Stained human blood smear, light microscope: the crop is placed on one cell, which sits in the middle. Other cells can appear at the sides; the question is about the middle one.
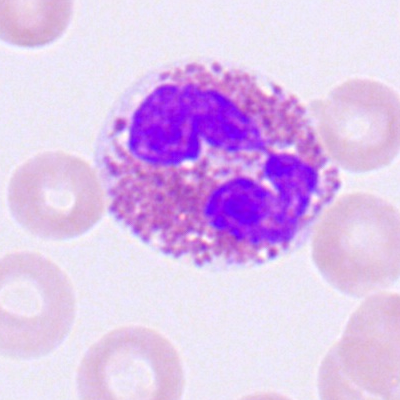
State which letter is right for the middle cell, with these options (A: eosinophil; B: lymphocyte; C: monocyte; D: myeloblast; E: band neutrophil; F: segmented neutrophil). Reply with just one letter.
A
